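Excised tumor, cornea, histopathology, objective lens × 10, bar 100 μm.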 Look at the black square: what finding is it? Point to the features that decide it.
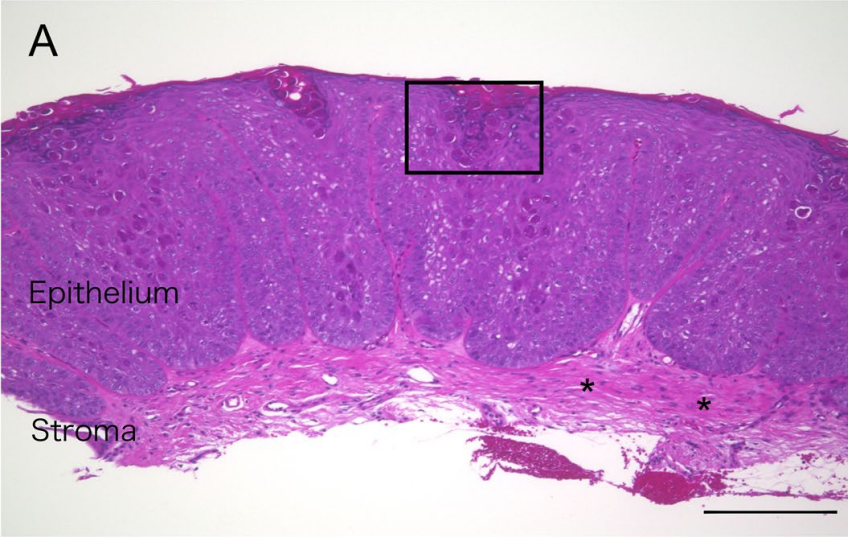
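Molluscum bodies. Within the square, rounded swollen cells with dense contents lie near the surface. Similar rounded pink bodies are scattered in the upper epithelium elsewhere.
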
